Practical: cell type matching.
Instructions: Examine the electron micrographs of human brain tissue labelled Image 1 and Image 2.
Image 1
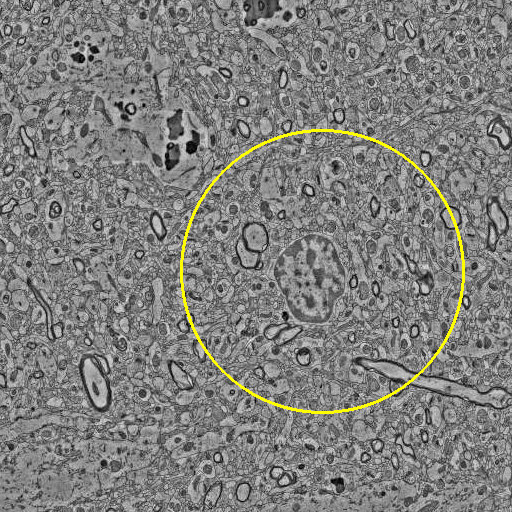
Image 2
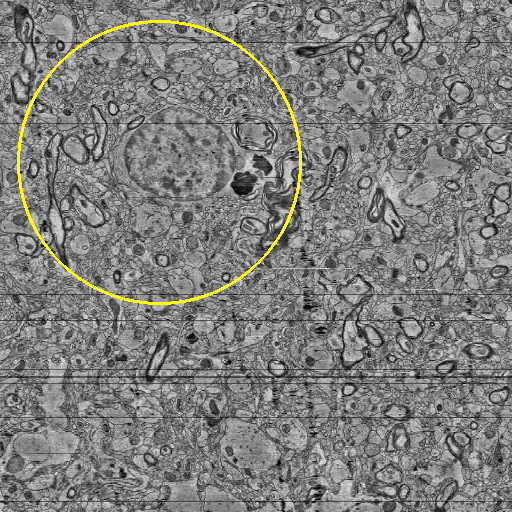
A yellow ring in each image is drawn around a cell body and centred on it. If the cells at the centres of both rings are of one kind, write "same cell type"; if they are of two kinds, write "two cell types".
two cell types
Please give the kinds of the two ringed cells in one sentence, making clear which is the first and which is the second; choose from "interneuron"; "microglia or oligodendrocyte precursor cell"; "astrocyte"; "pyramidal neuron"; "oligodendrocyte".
In the second picture the ringed cell is an oligodendrocyte; in the first it is a microglial cell or oligodendrocyte precursor cell.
